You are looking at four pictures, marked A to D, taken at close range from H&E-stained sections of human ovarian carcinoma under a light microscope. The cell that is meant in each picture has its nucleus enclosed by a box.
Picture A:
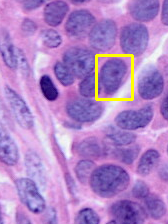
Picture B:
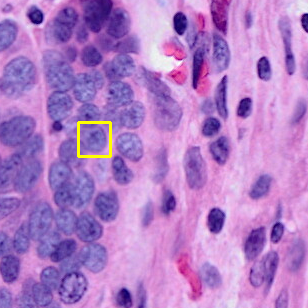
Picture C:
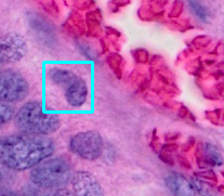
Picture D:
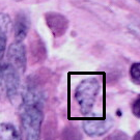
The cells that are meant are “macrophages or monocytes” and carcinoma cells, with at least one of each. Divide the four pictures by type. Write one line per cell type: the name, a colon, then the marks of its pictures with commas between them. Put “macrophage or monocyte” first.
macrophage or monocyte: C, D
carcinoma cell: A, B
